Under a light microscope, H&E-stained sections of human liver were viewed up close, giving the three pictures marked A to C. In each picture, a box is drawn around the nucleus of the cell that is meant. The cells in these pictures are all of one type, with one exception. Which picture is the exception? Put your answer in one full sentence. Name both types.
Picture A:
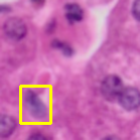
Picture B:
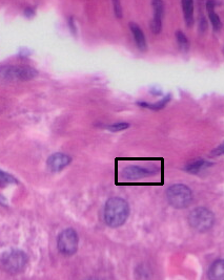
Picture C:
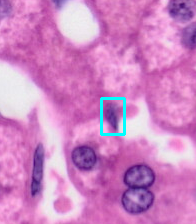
The others show endothelial cells, but picture B shows a “fibroblast or stellate cell”.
